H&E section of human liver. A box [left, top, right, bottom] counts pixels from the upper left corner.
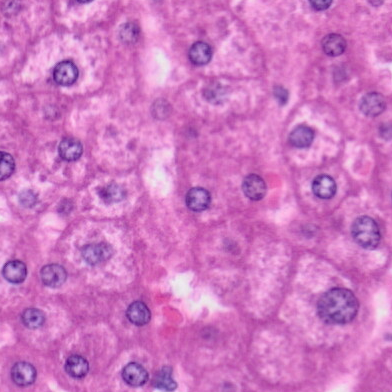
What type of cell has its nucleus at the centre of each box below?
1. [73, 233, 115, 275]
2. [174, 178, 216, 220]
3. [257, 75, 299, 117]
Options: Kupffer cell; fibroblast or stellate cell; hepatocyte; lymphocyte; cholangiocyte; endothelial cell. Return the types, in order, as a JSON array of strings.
["hepatocyte", "hepatocyte", "endothelial cell"]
